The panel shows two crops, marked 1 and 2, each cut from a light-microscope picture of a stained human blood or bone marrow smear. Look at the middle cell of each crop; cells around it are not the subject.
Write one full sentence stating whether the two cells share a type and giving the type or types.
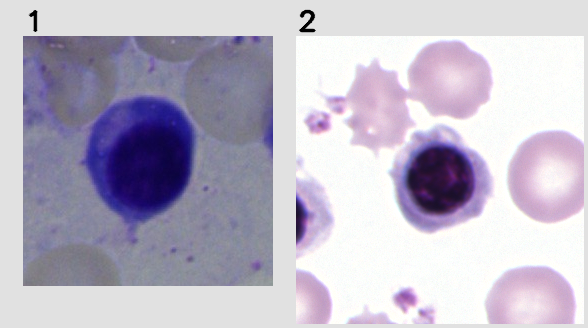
No, the assignment should read crop 1, a plasma cell; crop 2, an erythroblast.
